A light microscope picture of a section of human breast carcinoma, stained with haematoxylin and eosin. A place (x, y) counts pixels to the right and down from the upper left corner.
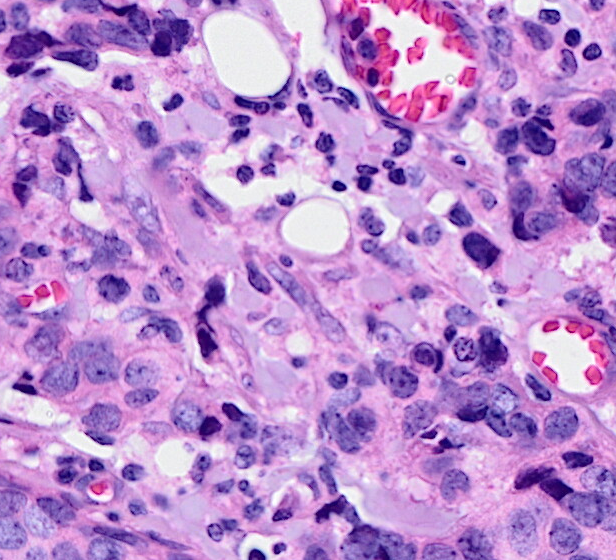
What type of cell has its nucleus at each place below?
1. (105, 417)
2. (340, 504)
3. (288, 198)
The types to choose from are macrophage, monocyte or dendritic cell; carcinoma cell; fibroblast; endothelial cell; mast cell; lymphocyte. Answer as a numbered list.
1. carcinoma cell
2. lymphocyte
3. lymphocyte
